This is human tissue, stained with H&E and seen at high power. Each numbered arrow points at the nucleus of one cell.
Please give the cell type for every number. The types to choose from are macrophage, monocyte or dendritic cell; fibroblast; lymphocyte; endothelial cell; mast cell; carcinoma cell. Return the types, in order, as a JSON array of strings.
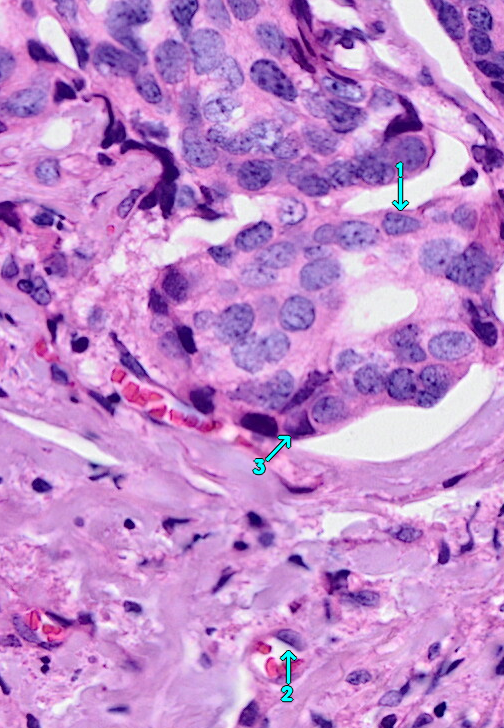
["carcinoma cell", "endothelial cell", "carcinoma cell"]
